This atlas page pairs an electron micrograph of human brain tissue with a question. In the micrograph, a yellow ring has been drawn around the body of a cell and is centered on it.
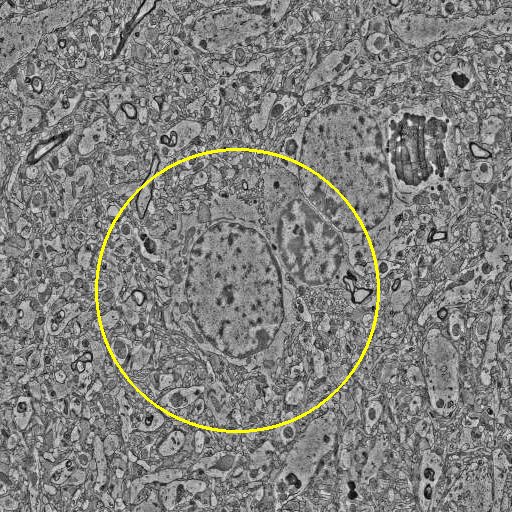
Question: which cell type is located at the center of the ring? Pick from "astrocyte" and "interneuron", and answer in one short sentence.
Located at the center of the ring is an astrocyte.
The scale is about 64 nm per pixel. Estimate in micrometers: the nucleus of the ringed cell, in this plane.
Approximately 9 micrometres long and 6 micrometres wide, in this plane.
